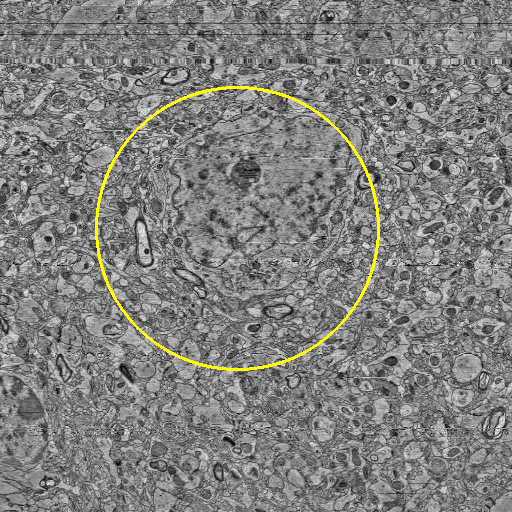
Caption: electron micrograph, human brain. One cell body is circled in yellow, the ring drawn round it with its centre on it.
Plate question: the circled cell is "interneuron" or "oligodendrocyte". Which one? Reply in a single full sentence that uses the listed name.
The yellow ring on the plate is centred on an interneuron, going by the listed names.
